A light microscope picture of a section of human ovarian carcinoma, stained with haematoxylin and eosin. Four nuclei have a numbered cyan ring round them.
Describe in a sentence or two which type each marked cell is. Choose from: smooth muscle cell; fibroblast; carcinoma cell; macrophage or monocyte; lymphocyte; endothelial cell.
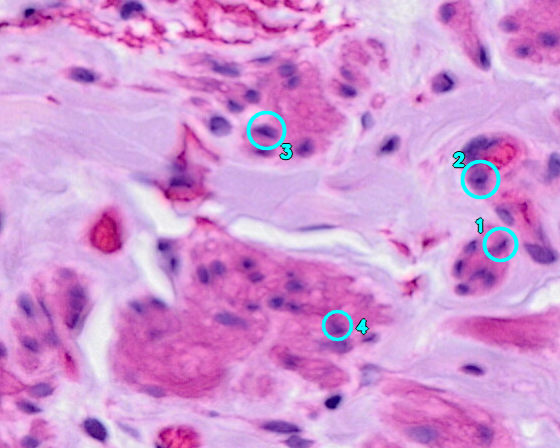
Cells 1, 3 and 4 are smooth muscle cells. Cell 2 is an endothelial cell.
